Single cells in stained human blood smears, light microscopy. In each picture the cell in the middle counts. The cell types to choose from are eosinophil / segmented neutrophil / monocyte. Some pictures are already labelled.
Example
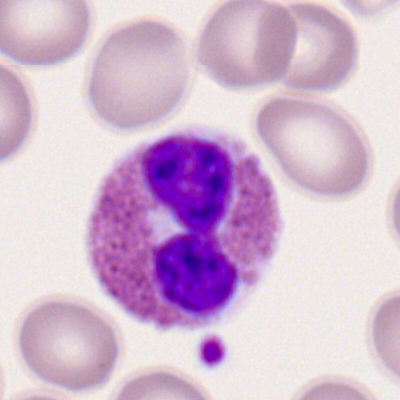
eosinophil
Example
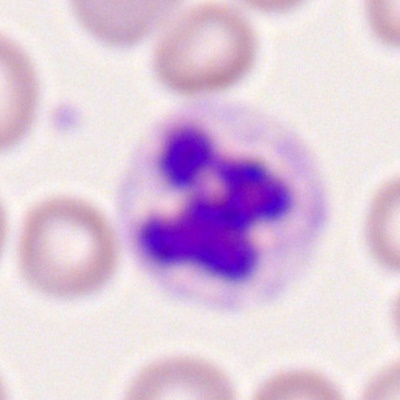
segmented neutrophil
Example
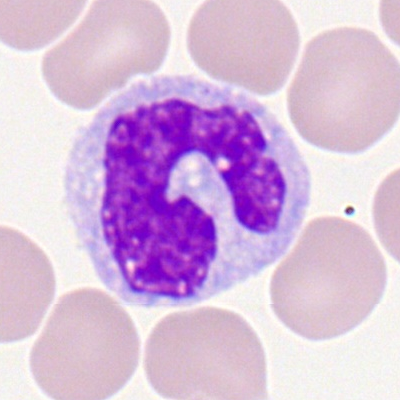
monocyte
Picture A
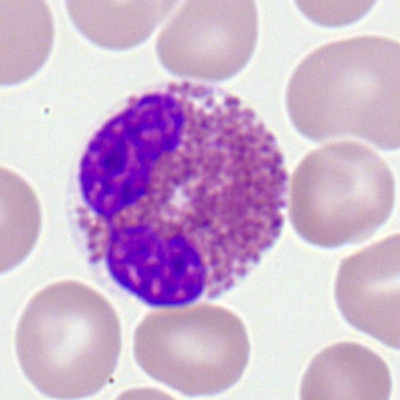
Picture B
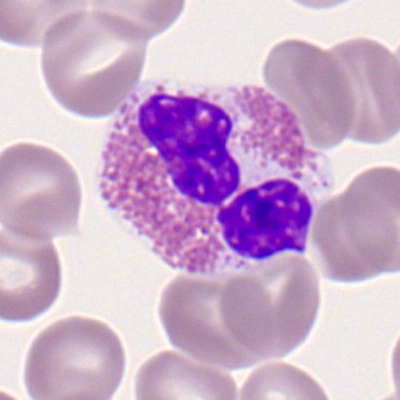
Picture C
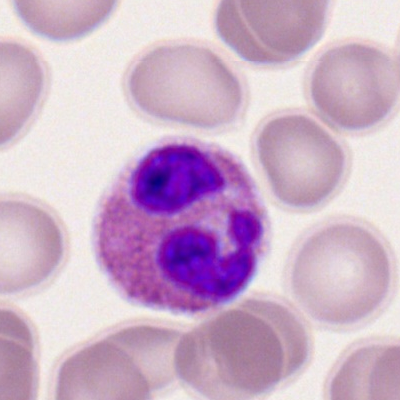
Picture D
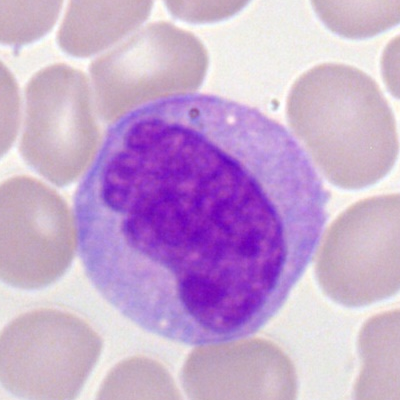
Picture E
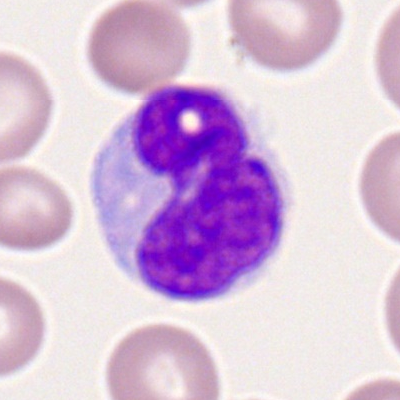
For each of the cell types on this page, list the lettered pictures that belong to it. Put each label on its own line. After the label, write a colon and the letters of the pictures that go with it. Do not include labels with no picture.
eosinophil: A, B, C
monocyte: D, E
